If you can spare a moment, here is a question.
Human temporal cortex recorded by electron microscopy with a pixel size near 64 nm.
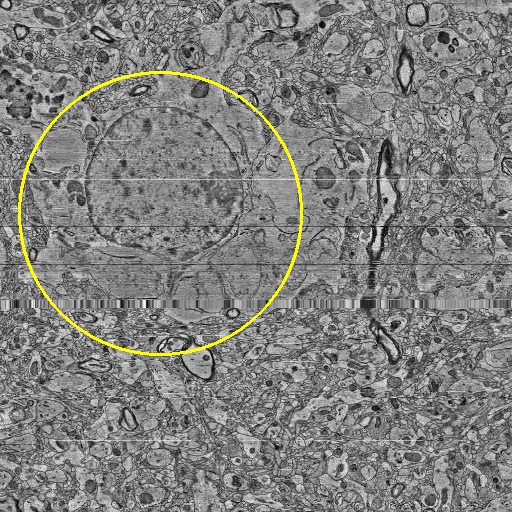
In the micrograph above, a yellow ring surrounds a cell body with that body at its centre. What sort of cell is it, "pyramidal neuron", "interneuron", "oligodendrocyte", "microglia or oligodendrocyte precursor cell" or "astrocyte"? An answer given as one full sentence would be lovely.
Centred inside the yellow ring, the cell body shown belongs to an astrocyte in this micrograph.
